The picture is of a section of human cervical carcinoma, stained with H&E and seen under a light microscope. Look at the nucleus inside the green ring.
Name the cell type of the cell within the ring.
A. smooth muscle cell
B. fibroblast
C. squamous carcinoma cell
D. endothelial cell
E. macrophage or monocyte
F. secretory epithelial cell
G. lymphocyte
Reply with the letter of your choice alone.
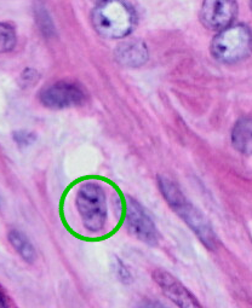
E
